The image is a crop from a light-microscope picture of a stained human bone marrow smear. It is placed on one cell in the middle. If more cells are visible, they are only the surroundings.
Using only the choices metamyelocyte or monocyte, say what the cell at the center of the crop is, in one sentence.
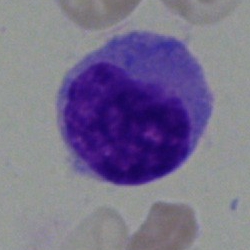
The centrally positioned cell in the crop represents a monocyte.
